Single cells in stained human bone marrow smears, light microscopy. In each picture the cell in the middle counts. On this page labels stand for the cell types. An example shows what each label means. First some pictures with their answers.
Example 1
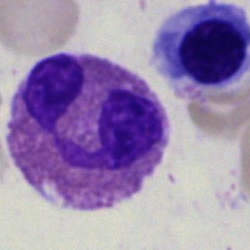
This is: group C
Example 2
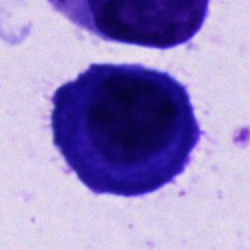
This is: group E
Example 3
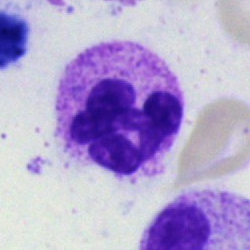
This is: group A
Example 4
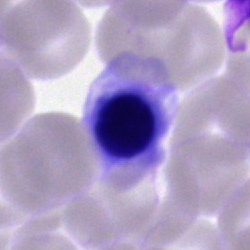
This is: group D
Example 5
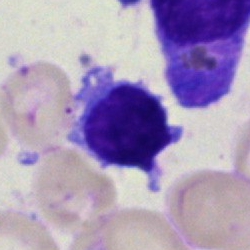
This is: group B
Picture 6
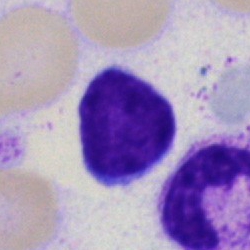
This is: group B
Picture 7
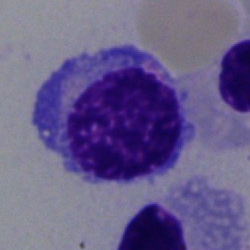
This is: group E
